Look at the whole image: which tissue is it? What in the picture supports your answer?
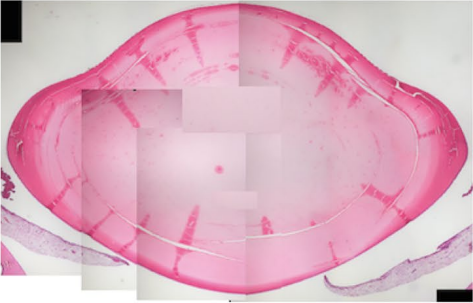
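A whole biconvex, lens-shaped section stained pink. Concentric lamellar layers run parallel to the outer contour. The section is acellular-looking, with a paler center. So: crystalline lens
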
